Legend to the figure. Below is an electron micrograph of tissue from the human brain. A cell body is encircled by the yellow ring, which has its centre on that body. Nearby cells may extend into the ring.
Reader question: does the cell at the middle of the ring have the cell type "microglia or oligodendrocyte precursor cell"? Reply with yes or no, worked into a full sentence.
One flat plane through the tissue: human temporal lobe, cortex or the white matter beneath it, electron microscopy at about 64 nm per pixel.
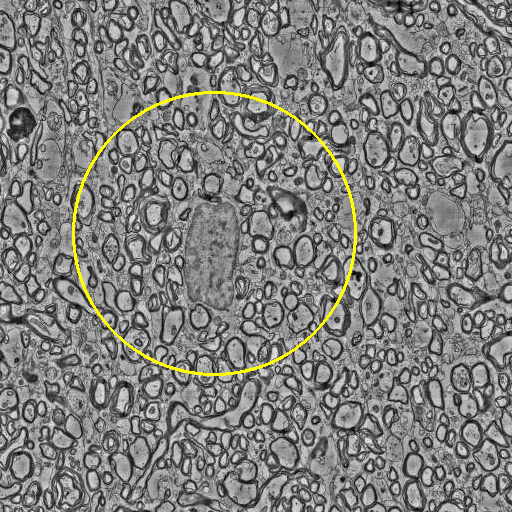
No, the cell sitting at the middle of the ring in the picture has another cell type.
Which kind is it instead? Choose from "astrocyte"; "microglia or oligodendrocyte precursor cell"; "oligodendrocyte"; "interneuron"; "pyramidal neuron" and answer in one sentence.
The cell ringed in the picture is an oligodendrocyte.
